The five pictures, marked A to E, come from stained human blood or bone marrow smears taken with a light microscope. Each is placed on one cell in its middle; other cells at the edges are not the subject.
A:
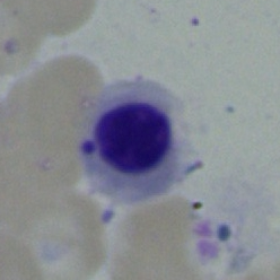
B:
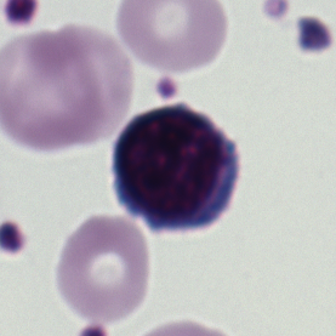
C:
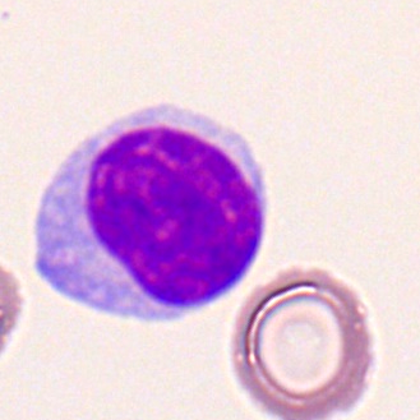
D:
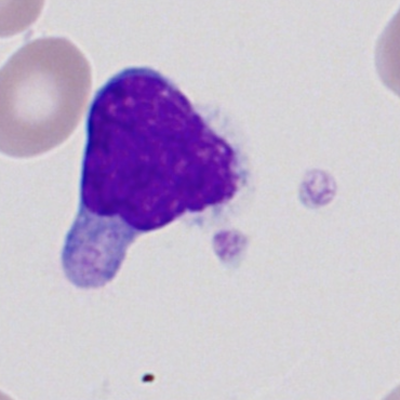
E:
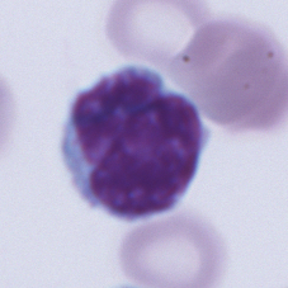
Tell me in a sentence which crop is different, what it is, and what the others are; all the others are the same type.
The set is made up of lymphocytes, with the single exception of crop A, which is a normoblast.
